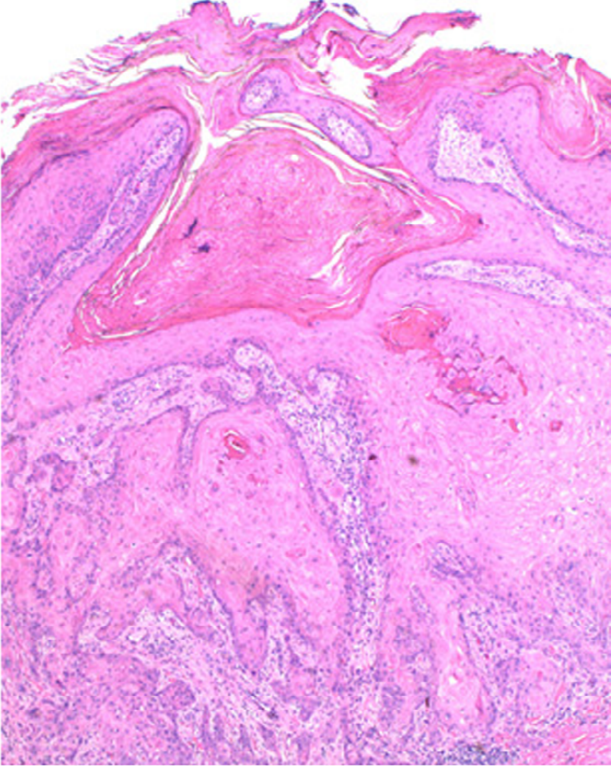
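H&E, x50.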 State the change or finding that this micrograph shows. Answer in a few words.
Trichilemmal‐like keratinisation.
